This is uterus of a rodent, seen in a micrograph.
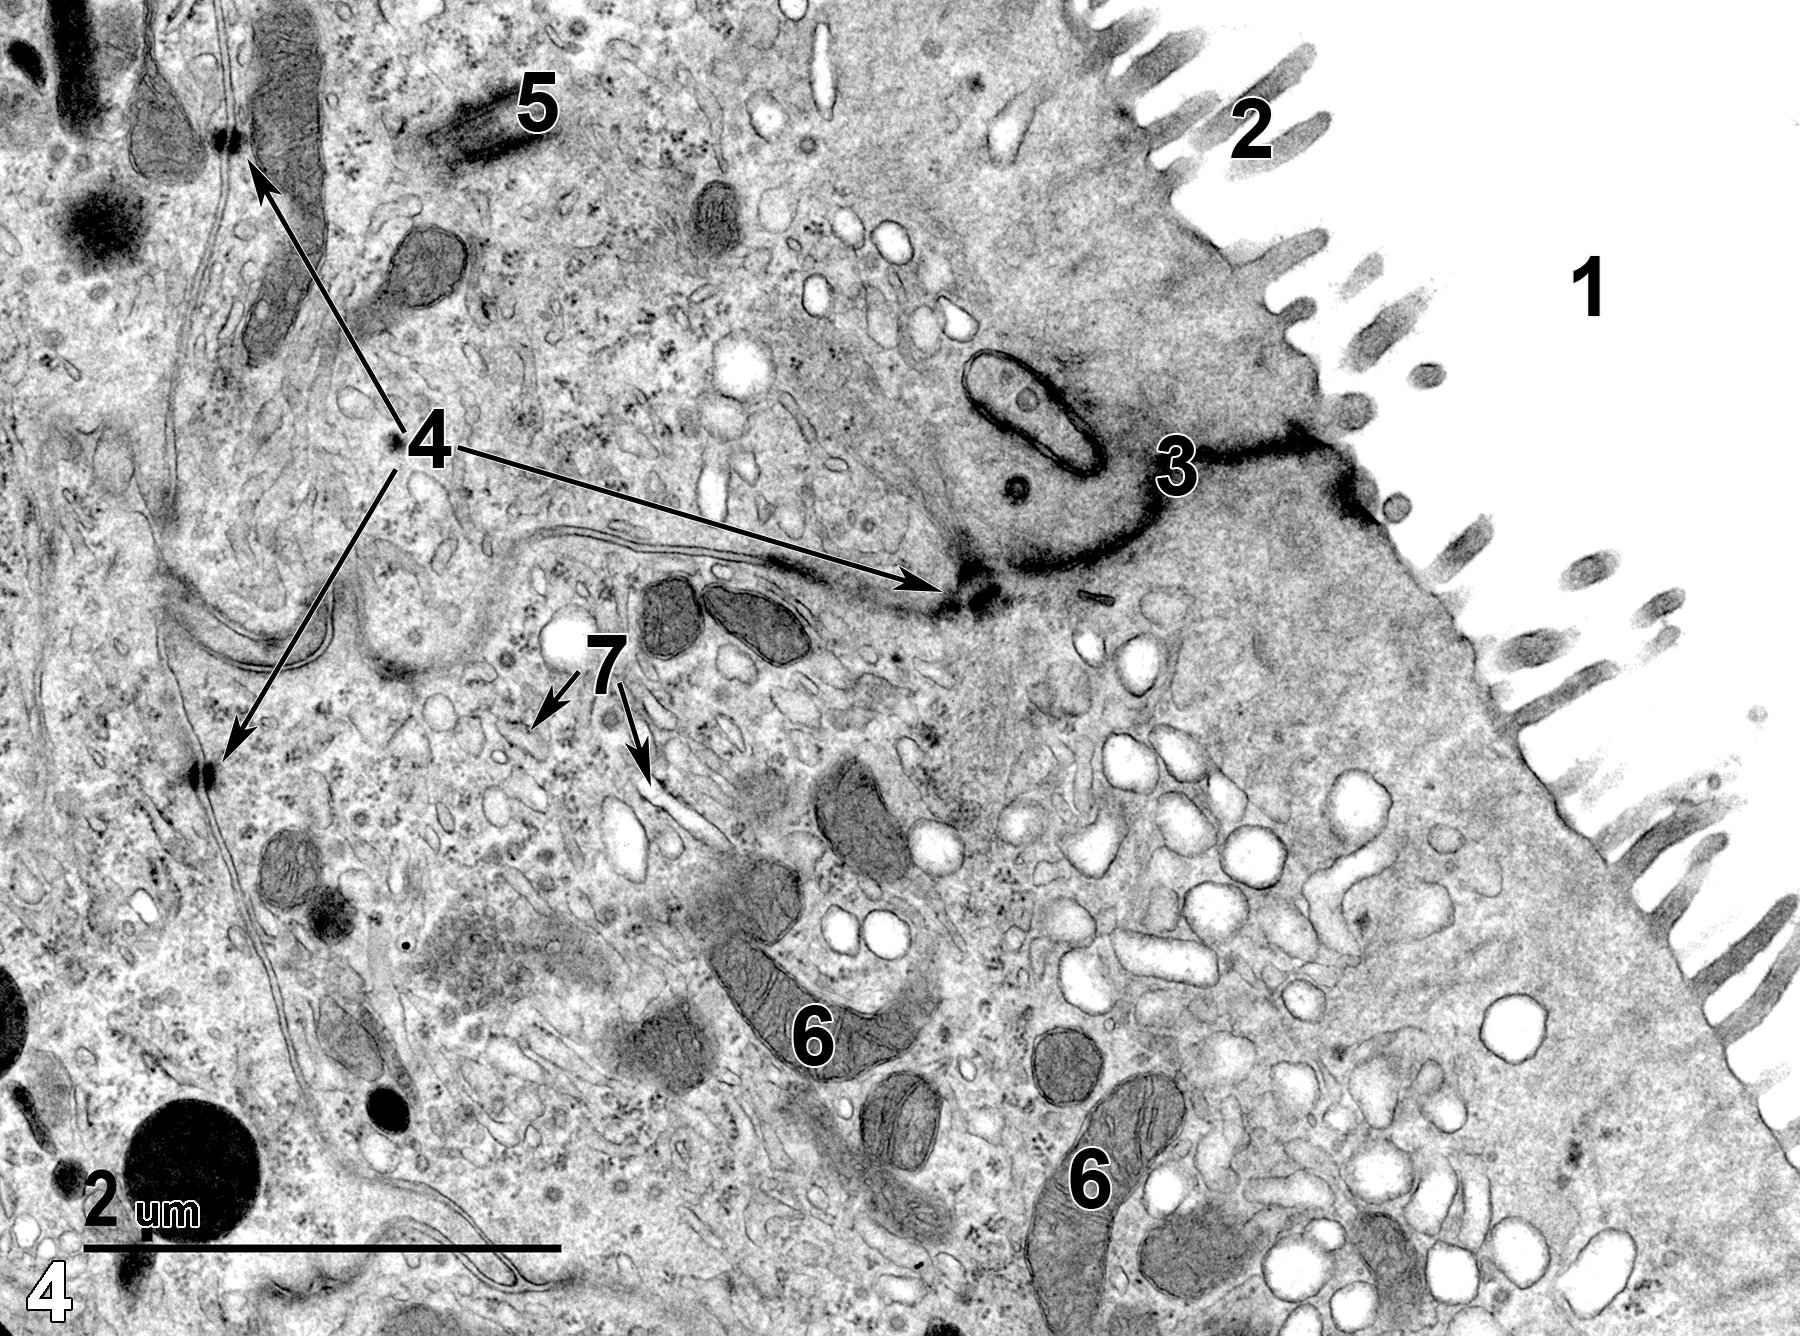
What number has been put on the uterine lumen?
1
